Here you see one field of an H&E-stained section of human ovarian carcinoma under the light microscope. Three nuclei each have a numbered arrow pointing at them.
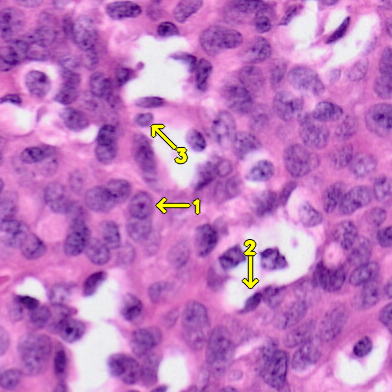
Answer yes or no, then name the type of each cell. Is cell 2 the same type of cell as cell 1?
Yes, both are carcinoma cells.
